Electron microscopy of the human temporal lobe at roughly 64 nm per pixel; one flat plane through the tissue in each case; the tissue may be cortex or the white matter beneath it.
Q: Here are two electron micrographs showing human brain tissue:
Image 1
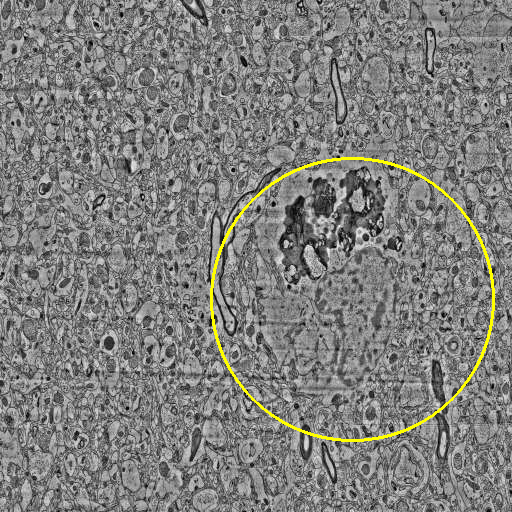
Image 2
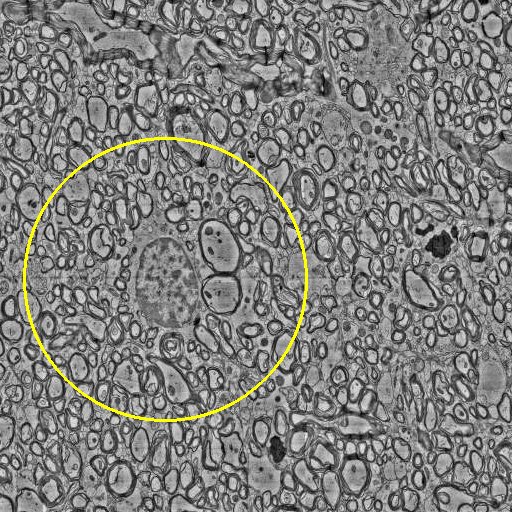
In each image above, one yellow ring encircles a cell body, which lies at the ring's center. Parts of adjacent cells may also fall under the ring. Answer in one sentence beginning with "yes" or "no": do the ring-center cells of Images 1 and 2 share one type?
No, in Images 1 and 2, the ring-center cells are of two types.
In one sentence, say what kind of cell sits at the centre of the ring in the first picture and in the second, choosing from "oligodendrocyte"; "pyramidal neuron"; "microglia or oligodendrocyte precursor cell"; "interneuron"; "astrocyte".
The first picture's ringed cell is an astrocyte, while the second picture's is an oligodendrocyte.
